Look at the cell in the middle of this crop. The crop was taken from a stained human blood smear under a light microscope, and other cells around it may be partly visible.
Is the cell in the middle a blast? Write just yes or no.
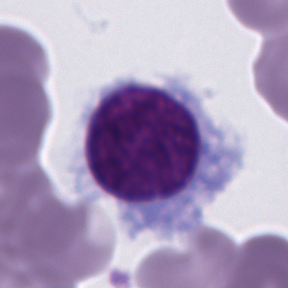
no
